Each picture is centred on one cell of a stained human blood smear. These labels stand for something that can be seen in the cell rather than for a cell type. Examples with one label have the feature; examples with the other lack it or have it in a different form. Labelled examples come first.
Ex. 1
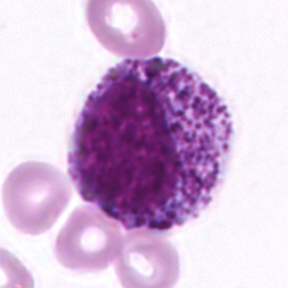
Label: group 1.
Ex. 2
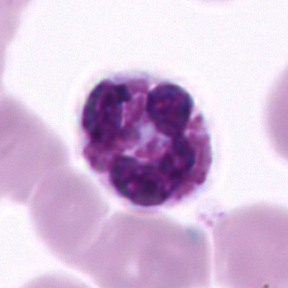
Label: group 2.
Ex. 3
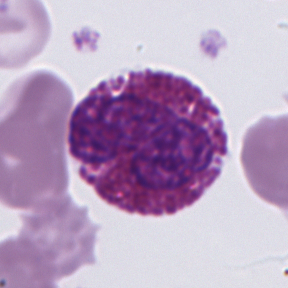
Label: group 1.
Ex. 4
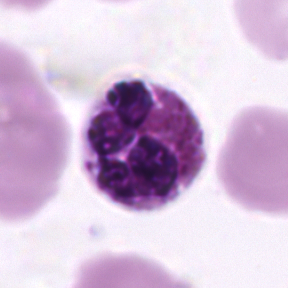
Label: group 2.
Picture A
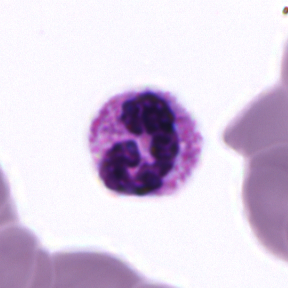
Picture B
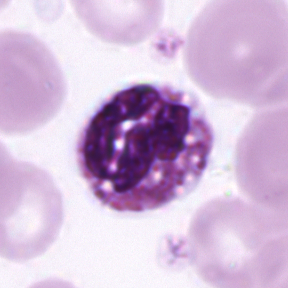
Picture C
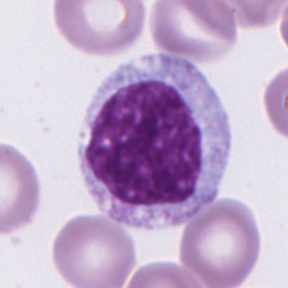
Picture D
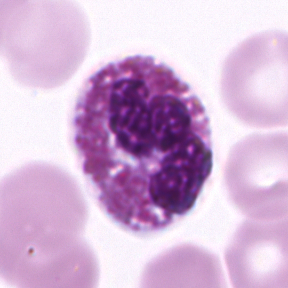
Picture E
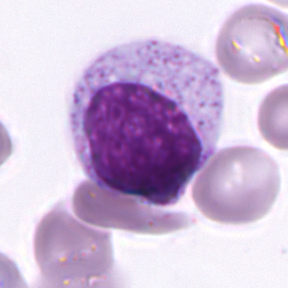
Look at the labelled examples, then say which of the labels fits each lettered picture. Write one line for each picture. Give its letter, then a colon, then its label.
A: group 2.
B: group 1.
C: group 2.
D: group 1.
E: group 2.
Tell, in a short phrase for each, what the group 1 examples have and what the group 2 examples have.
group 1, coarse or large granules; group 2, fine or small granules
